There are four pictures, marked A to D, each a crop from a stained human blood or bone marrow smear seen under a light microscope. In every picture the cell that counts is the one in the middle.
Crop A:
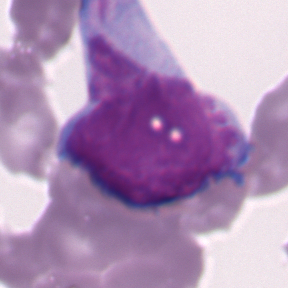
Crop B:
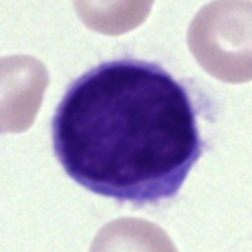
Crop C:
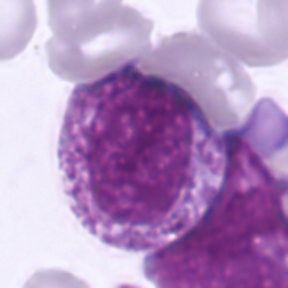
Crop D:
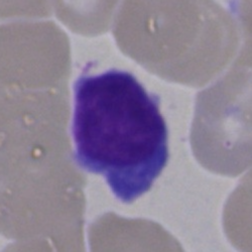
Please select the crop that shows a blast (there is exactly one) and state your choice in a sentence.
That would be crop A; it shows a blast.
